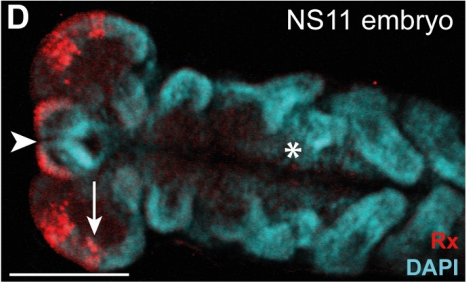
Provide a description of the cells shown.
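A flattened embryo with two broad head lobes at the anterior end and a trunk of paired segmental appendage buds, all outlined by cyan nuclei. The trunk segments show mostly cyan staining with a midline groove running along their length, and only sparse faint red cells.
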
